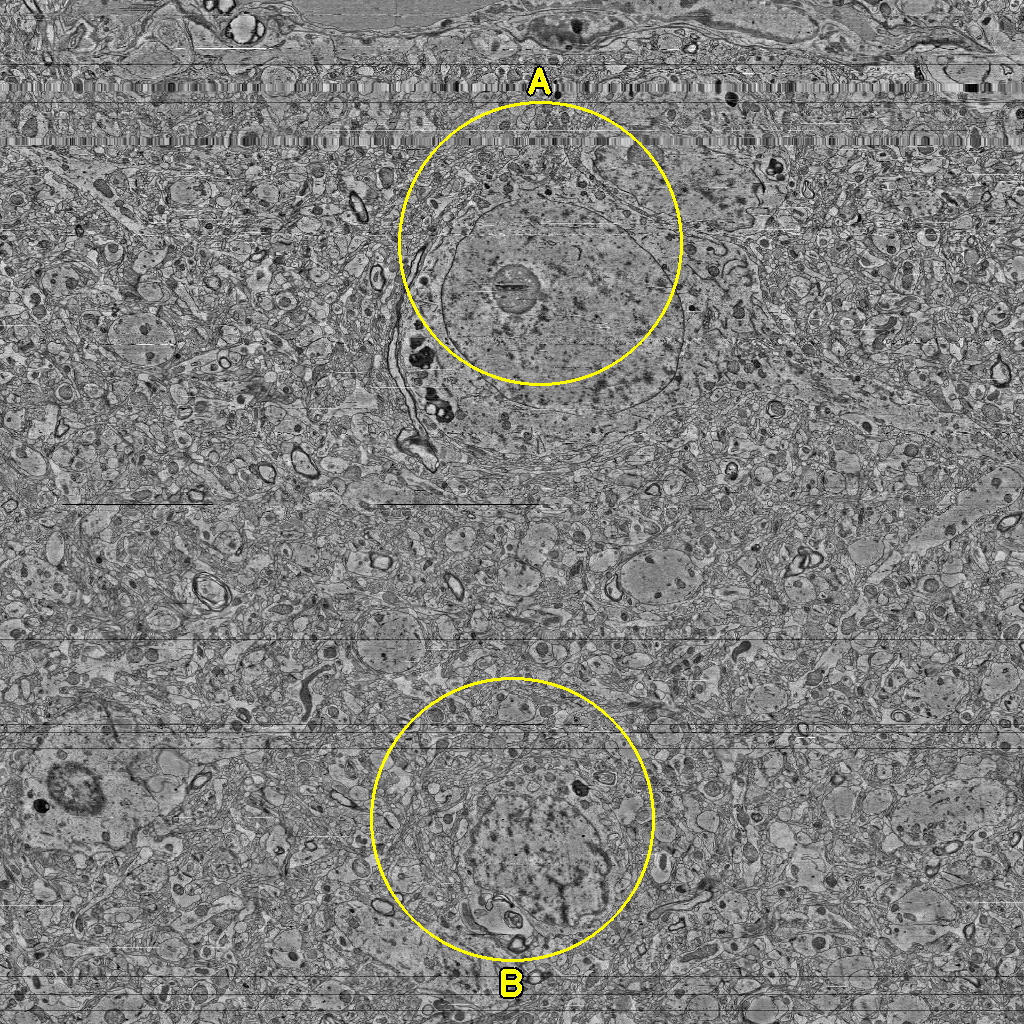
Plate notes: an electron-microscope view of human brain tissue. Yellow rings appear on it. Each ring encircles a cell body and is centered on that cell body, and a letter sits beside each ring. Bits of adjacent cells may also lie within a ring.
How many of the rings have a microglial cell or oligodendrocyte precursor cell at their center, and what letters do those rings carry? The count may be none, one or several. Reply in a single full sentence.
There is no ring centred on a microglial cell or oligodendrocyte precursor cell in this micrograph, and so the count is zero.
